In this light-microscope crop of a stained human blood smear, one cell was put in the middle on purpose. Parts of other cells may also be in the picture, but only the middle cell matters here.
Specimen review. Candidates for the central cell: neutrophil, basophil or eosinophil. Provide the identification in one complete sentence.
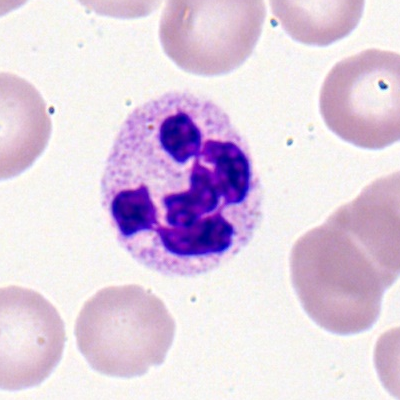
The cell centred in this crop is categorized as a neutrophil.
